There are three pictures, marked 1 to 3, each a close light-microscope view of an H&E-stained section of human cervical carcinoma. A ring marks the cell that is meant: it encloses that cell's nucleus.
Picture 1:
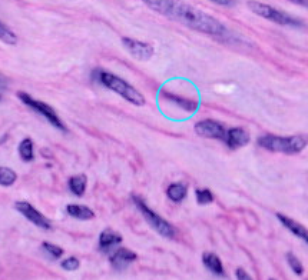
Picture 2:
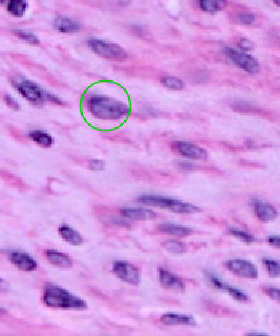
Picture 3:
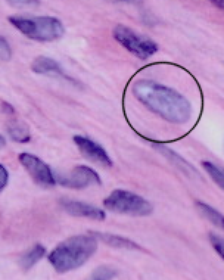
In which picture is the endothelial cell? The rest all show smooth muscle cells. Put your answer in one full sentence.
The endothelial cell is the one in picture 3.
